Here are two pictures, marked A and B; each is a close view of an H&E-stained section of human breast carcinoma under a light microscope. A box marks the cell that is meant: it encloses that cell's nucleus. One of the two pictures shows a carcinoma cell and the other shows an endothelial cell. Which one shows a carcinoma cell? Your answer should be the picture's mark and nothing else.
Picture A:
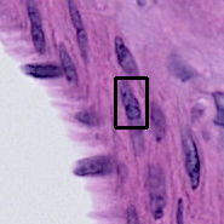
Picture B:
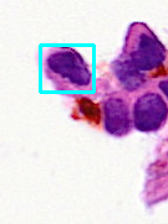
B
